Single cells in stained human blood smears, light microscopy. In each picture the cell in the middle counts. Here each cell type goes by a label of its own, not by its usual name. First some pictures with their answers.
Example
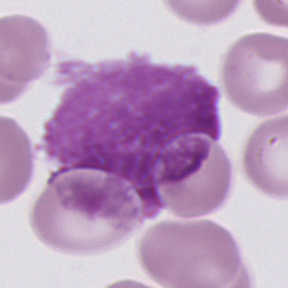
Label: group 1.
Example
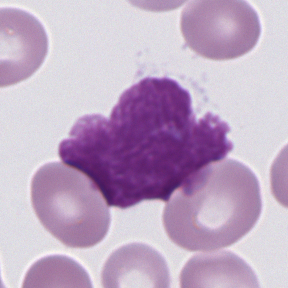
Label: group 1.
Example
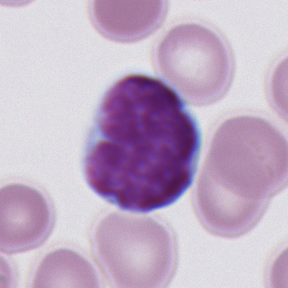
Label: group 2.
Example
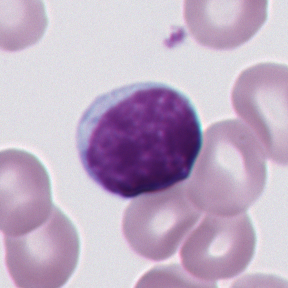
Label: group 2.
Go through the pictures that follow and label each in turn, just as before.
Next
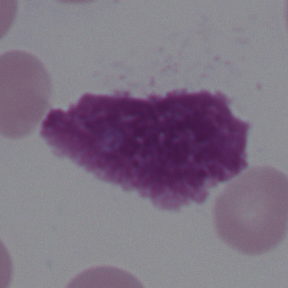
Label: group 1.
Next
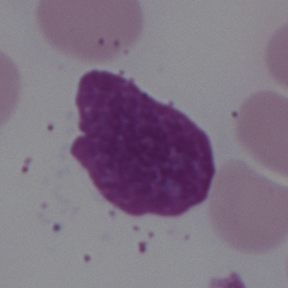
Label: group 1.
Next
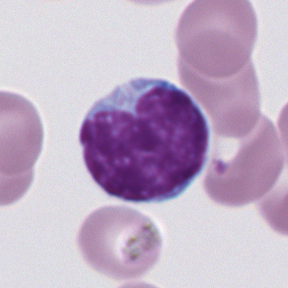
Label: group 2.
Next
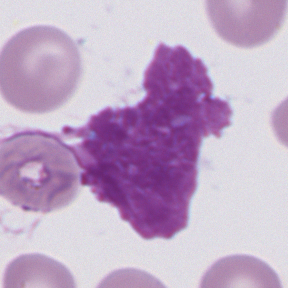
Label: group 1.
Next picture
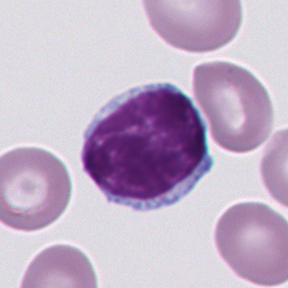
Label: group 2.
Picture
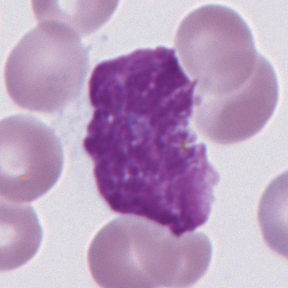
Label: group 1.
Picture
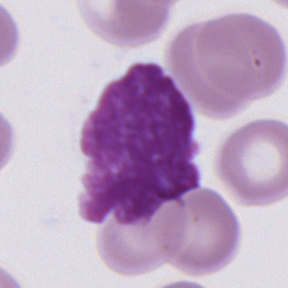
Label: group 1.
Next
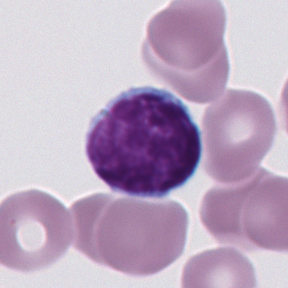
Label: group 2.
